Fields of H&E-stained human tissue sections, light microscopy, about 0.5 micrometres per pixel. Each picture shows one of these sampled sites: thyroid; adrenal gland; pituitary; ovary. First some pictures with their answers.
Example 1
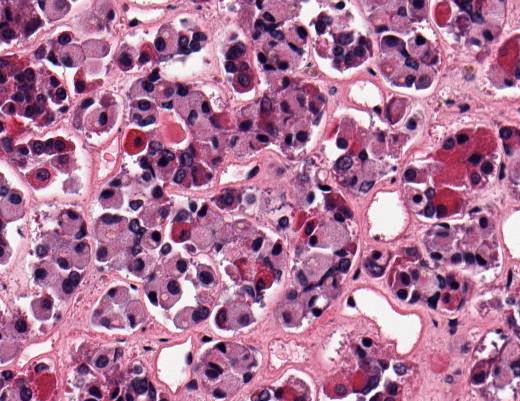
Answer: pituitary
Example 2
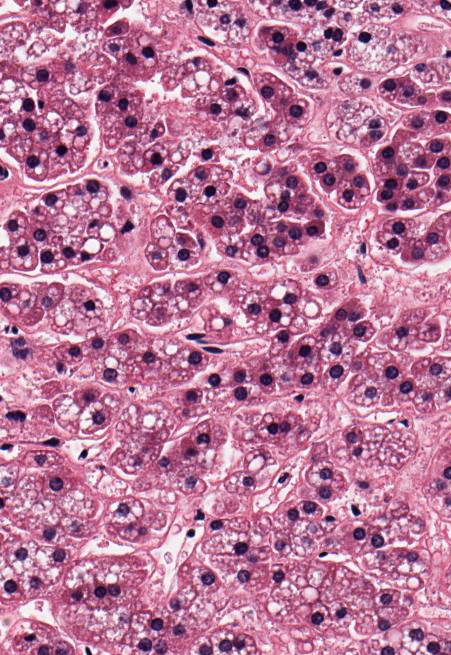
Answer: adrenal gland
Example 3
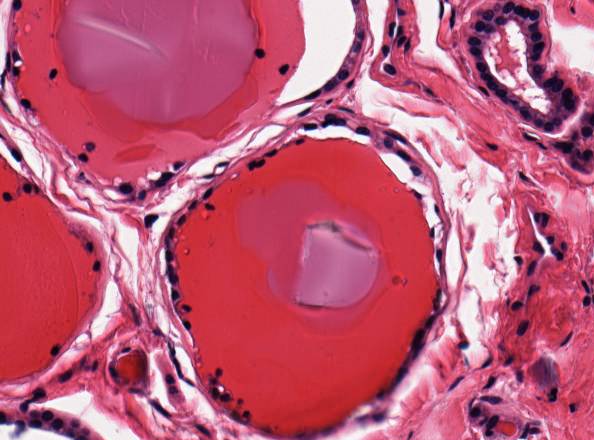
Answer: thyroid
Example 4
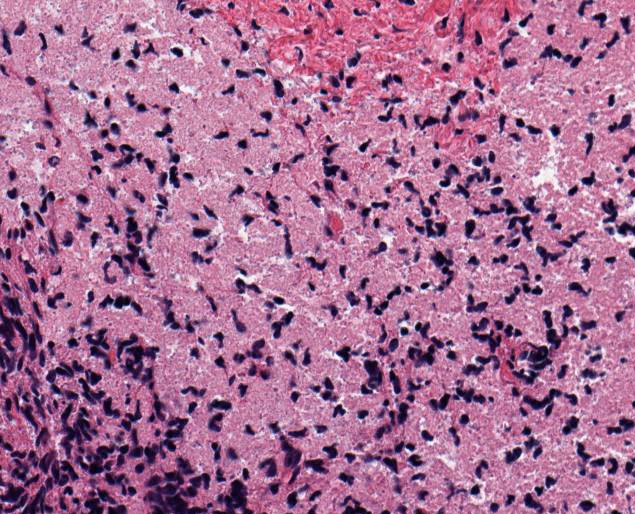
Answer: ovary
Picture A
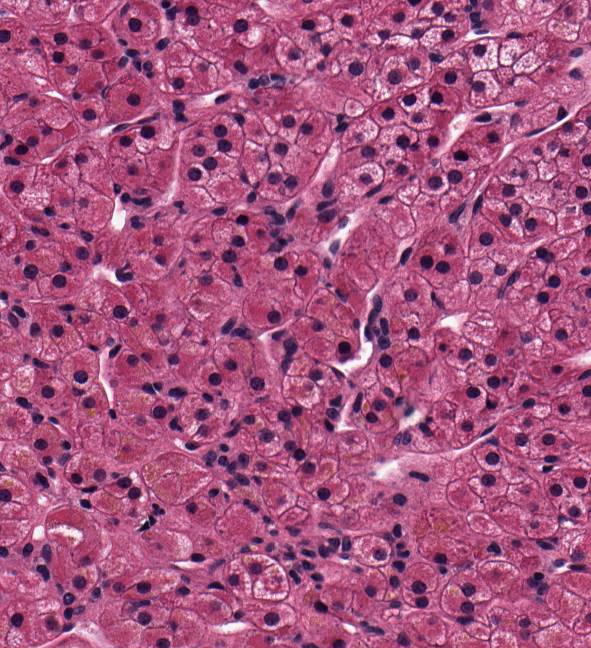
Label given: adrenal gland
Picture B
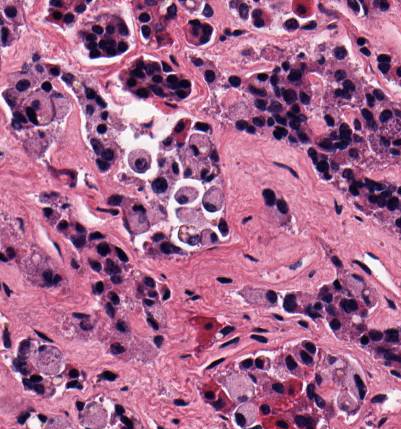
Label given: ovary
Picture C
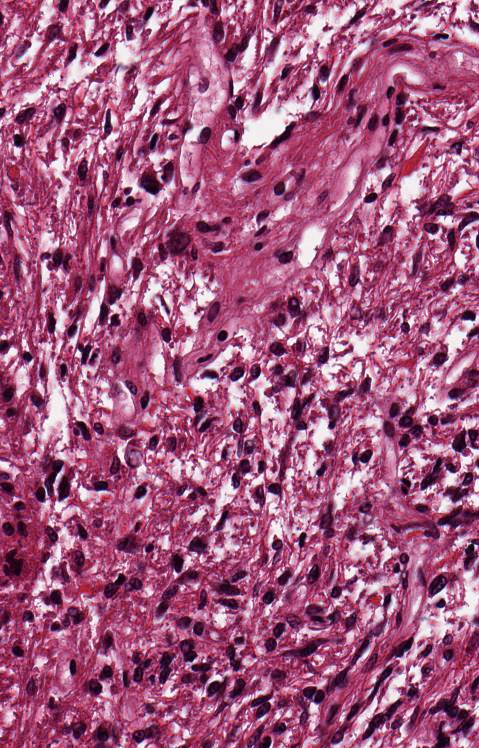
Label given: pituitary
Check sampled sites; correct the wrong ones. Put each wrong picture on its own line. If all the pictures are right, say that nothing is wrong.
B: pituitary, not ovary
